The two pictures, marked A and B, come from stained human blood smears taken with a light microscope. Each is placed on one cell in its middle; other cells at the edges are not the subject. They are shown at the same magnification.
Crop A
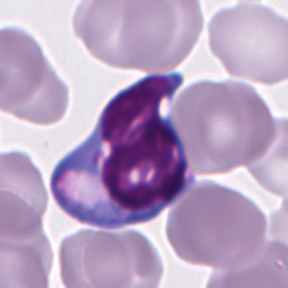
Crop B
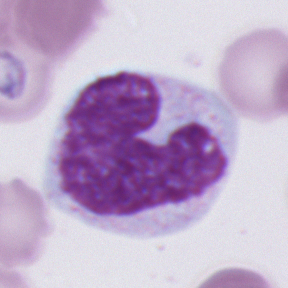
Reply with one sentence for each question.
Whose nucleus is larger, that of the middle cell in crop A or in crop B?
Crop B shows the larger nucleus; it covers about 2 times the area of the nucleus in crop A.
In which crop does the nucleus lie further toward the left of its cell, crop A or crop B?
The nucleus in crop B lies further toward the left of its cell.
